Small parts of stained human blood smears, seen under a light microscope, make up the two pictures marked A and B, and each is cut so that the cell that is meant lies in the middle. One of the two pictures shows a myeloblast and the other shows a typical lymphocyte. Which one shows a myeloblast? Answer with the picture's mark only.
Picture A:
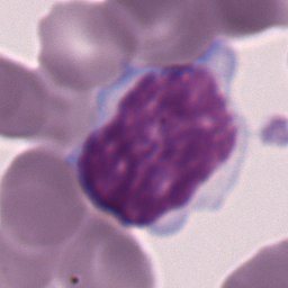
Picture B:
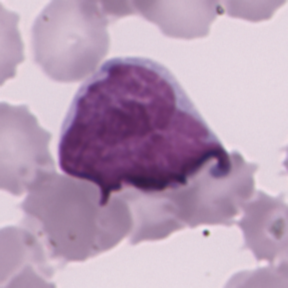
B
